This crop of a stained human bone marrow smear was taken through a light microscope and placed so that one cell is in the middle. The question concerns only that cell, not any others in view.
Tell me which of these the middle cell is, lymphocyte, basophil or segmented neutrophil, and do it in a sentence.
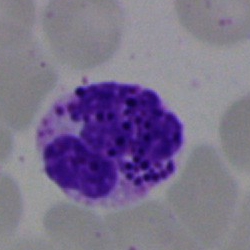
Answering briefly, the cell in the middle is a basophil.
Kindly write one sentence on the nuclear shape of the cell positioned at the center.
Look at the nucleus and you will find it divided into two or more lobes.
